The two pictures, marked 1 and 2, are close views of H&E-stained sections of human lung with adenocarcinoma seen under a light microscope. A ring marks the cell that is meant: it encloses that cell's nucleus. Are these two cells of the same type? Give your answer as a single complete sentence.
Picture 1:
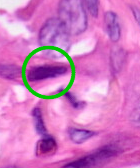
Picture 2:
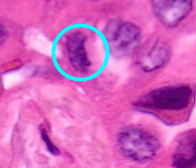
Yes, the two pictures both show carcinoma cells.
